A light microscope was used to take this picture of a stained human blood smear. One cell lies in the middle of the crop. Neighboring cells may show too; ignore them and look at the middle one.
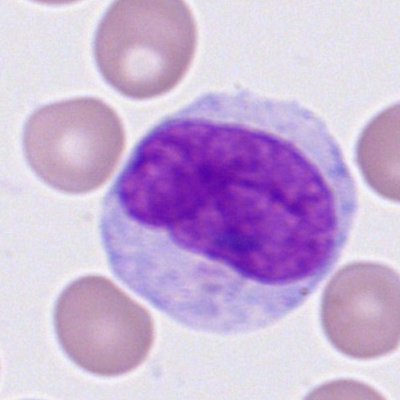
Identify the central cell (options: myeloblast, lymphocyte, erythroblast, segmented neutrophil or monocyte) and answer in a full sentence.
This crop is built around a monocyte at its centre.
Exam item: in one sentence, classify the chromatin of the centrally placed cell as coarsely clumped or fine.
What stands out is chromatin that is coarsely clumped.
